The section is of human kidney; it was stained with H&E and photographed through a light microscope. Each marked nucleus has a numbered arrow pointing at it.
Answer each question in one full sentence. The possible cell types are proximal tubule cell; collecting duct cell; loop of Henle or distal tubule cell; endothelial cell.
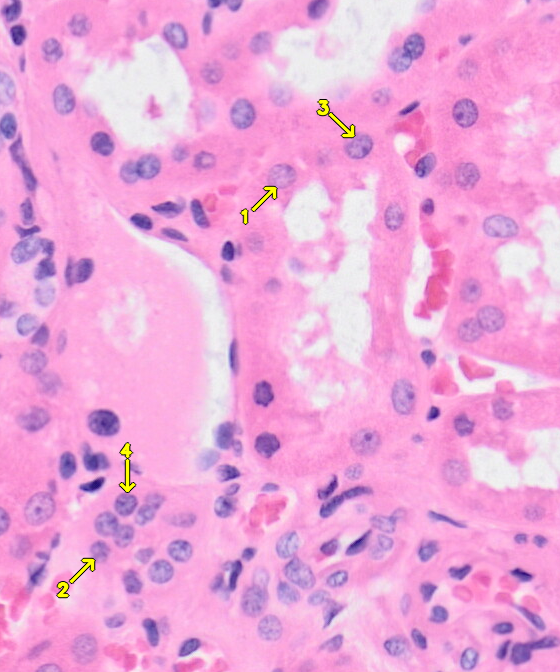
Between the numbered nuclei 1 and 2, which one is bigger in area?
At about 1.5 times the area of nucleus 2, nucleus 1 is the larger of the two.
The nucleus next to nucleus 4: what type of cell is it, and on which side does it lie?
The nearest nucleus is that of a collecting duct cell and lies below and to the right of nucleus 4.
